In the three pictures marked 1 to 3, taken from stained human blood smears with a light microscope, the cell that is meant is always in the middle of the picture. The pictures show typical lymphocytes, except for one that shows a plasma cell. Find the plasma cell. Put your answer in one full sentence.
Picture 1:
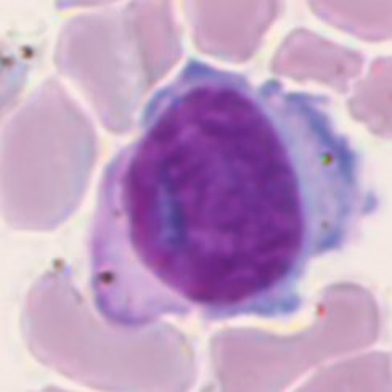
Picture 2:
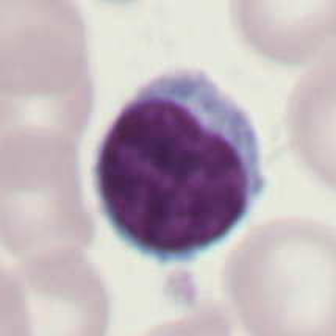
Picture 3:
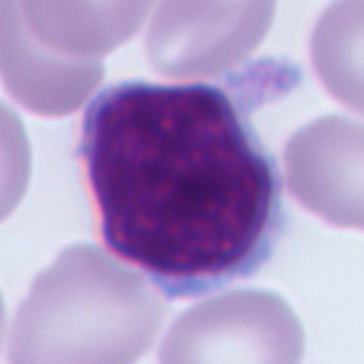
The picture with the plasma cell is 1.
